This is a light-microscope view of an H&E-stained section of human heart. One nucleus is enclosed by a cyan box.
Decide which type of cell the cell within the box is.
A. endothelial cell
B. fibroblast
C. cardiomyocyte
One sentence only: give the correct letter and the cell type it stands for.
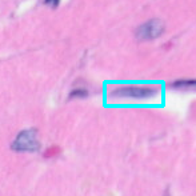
Option A gets it right: the cell within the box is an endothelial cell.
